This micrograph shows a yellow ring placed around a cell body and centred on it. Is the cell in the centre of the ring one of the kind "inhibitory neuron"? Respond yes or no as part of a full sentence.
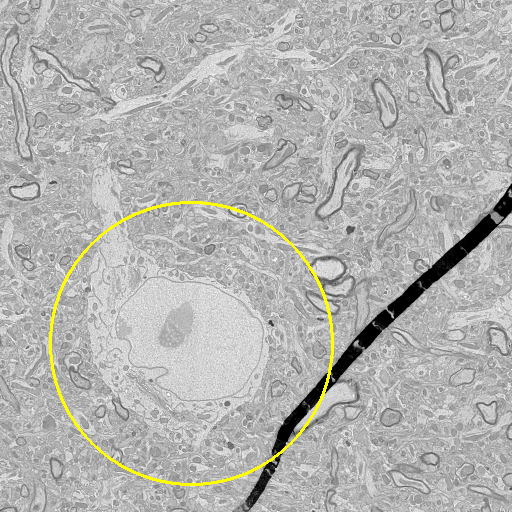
No, the cell in the centre of the ring within the picture belongs to another kind.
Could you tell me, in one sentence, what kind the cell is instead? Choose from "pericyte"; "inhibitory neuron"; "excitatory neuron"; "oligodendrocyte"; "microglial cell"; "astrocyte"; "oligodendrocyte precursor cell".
Instead, the ring in this picture marks an excitatory neuron.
